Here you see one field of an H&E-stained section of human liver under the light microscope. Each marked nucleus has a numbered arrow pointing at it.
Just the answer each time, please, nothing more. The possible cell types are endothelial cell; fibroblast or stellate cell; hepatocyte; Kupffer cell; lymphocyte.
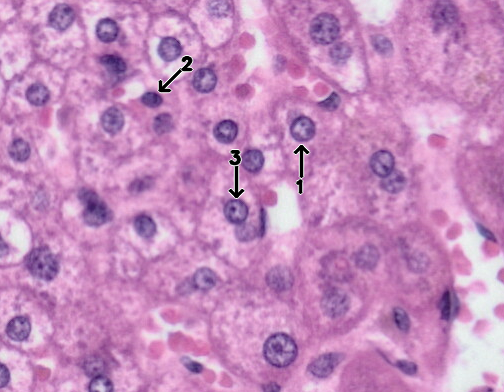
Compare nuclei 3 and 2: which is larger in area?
3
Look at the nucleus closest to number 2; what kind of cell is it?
endothelial cell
